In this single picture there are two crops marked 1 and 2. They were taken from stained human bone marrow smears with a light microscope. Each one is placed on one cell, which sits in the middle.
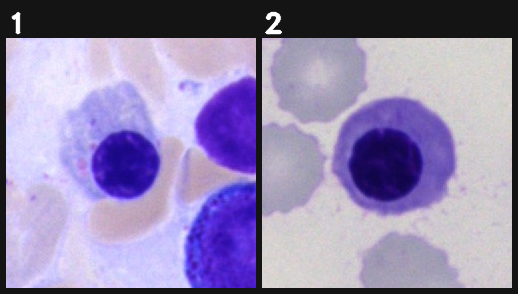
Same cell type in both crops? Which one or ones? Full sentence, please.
Yes, both crops show erythroblasts as their central cells.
